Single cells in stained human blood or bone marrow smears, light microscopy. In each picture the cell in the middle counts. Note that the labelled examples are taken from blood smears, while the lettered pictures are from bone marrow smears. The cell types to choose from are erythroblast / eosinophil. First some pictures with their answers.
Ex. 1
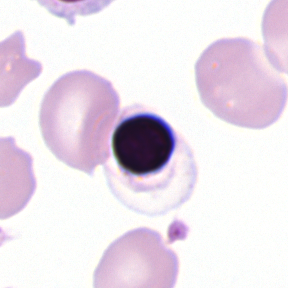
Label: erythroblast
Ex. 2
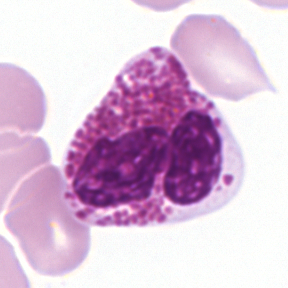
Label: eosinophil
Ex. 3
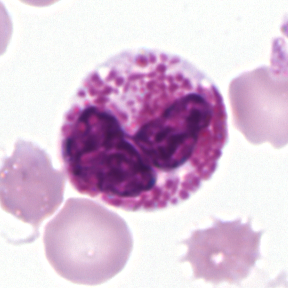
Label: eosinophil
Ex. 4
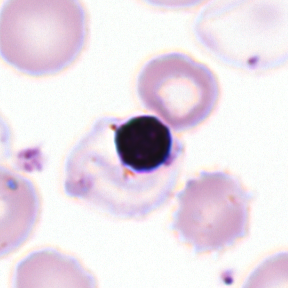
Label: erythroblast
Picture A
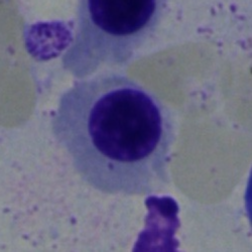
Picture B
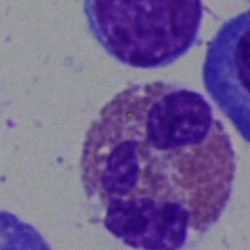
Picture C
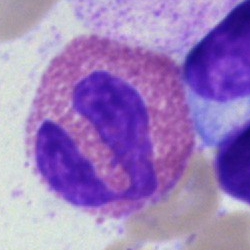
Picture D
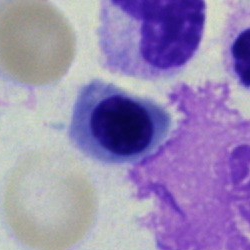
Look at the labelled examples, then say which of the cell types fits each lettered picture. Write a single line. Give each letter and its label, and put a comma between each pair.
A erythroblast, B eosinophil, C eosinophil, D erythroblast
